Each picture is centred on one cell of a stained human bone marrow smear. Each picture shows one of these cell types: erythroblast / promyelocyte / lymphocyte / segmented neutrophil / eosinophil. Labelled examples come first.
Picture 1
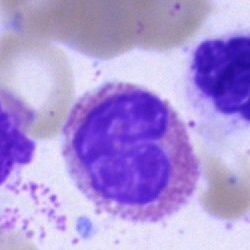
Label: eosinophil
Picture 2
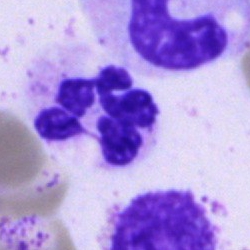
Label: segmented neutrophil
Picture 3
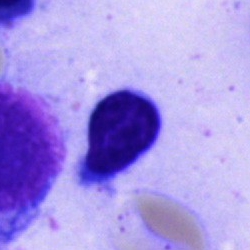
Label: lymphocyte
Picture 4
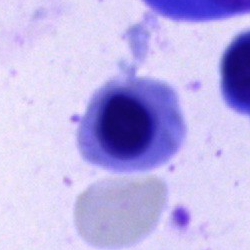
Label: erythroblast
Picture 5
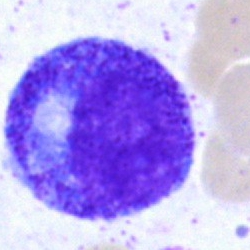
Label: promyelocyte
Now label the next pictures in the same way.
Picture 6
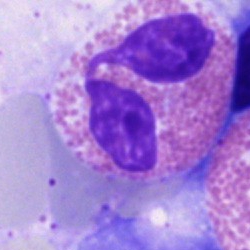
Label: eosinophil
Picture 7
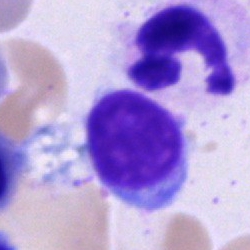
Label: lymphocyte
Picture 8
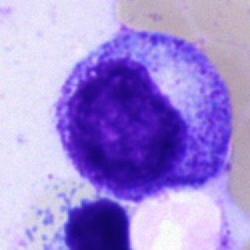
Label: promyelocyte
